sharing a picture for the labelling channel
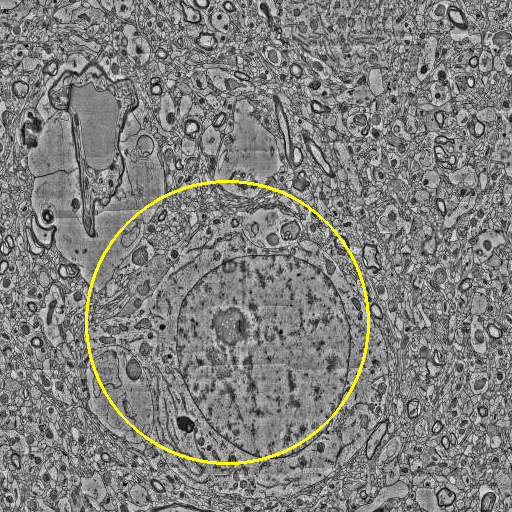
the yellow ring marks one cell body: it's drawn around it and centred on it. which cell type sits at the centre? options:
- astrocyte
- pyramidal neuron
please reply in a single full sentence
In the picture, the cell at the ring's centre is a pyramidal neuron, going by the list.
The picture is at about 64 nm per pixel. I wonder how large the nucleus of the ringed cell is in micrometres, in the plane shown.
In this plane the nucleus measures roughly 13 by 11 micrometres.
